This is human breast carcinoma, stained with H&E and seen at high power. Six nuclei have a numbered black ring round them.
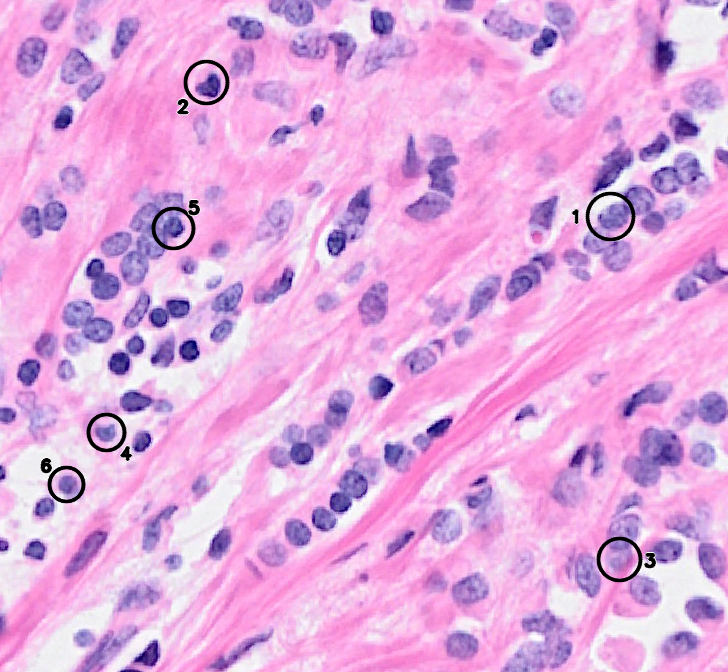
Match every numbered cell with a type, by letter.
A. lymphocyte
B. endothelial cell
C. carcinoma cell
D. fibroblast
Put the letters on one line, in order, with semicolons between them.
C; A; C; A; A; A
